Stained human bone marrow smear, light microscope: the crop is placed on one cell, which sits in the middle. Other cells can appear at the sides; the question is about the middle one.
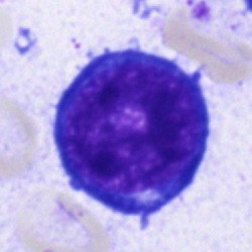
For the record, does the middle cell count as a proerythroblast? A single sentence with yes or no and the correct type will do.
Yes, the cell centred in this crop is a proerythroblast.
